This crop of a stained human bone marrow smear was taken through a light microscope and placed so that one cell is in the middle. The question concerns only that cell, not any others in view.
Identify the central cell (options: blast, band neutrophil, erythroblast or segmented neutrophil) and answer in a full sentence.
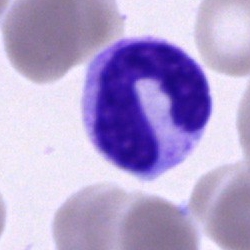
The middle position in this crop is taken by a band neutrophil.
